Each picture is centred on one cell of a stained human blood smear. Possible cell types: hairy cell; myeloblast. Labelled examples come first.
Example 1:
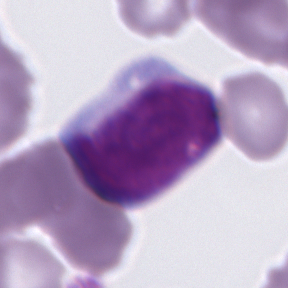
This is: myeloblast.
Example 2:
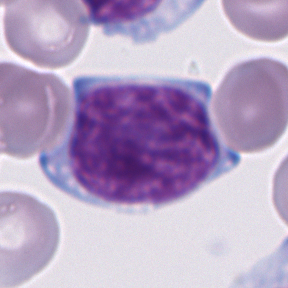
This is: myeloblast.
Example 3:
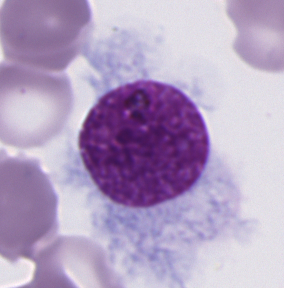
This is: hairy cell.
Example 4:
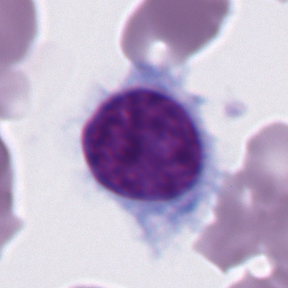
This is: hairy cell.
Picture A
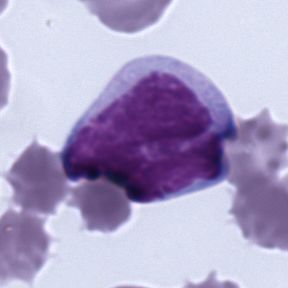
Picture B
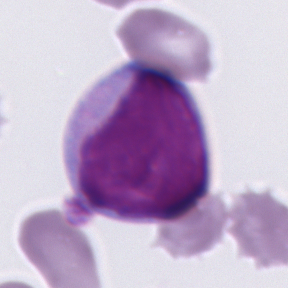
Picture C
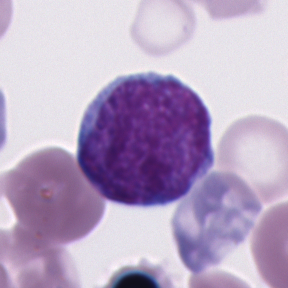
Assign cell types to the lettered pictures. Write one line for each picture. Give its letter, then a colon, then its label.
A: myeloblast.
B: myeloblast.
C: myeloblast.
